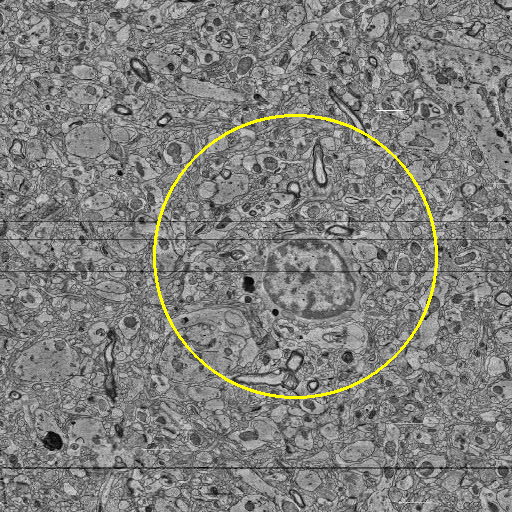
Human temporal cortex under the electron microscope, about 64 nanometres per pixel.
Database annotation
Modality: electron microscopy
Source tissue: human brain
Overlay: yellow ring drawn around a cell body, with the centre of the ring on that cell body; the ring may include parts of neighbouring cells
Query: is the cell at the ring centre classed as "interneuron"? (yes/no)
no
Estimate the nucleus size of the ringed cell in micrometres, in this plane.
In this plane, the nucleus of the cell at the centre of the ring measures about 6 by 5 micrometres.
